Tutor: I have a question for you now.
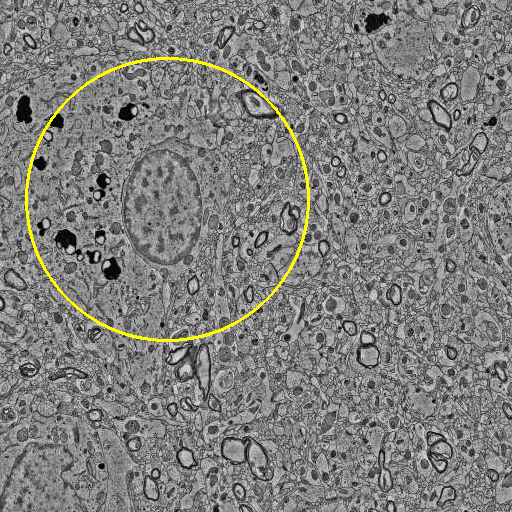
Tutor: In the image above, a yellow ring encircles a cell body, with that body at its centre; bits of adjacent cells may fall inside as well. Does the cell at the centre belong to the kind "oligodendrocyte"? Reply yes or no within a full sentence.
Yes, the cell at the centre of the yellow ring in the picture is of that kind.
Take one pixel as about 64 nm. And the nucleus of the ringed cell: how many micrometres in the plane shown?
The nucleus is approximately 7 micrometers long by 5 micrometers wide in this plane.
